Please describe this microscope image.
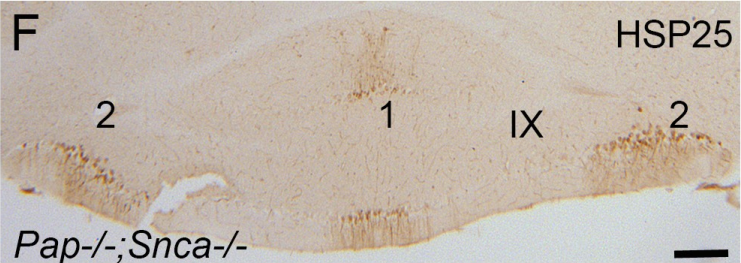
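A transverse section of a cerebellar lobule shows Purkinje cells stained brown in separate clusters, with a pale outer molecular layer and an inner granular layer. The stained Purkinje cell bodies sit in a row at the border of the layers and send brown processes up into the molecular layer, while neighbouring stretches of the row are unstained, giving a banded pattern at the sides and at the midline.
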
